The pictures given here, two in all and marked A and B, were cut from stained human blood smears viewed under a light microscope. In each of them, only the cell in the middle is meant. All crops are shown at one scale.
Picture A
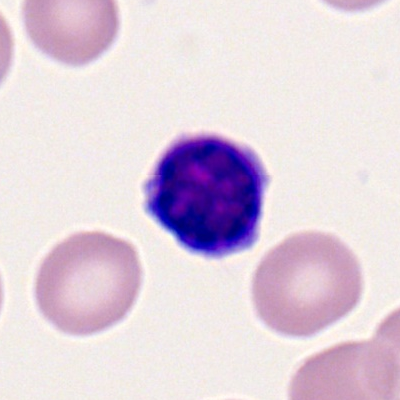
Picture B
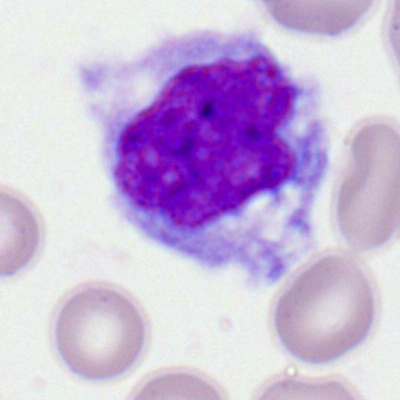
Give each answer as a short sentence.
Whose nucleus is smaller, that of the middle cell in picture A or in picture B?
Smaller is the nucleus in picture A, and the other is about 2 times as large in area.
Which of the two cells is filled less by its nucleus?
It is the cell in picture B that is filled less by its nucleus.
